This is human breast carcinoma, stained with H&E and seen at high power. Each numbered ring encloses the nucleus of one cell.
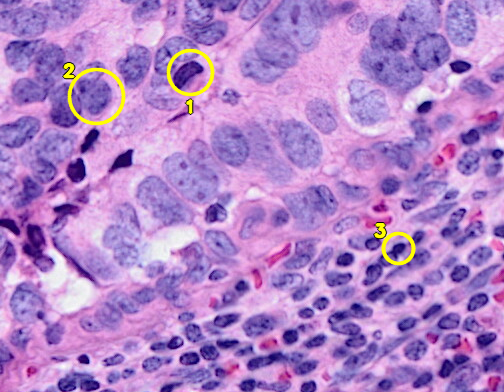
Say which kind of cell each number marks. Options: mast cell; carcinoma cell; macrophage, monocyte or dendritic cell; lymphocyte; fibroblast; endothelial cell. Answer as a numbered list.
1. carcinoma cell
2. carcinoma cell
3. lymphocyte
